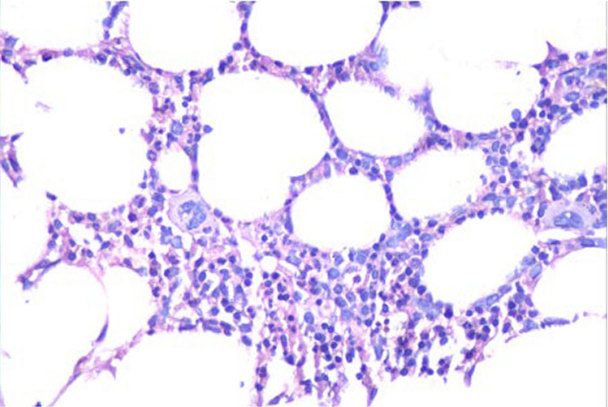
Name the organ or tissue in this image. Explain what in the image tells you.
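Many large, round, empty spaces like fat cells fill much of the field. Densely packed small round cells with dark purple nuclei lie between the empty spaces. A thin pink stroma runs between the cells. That points to this answer: bone marrow.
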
